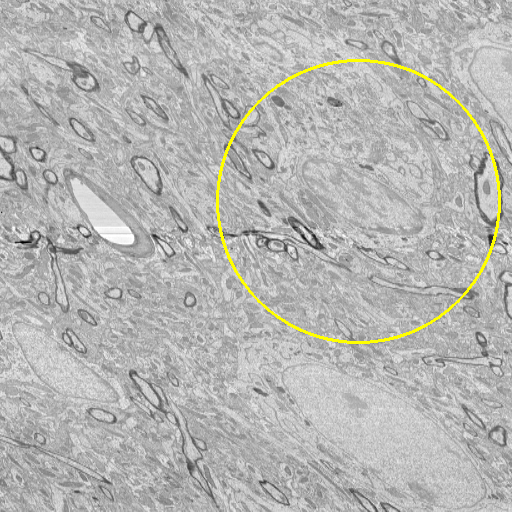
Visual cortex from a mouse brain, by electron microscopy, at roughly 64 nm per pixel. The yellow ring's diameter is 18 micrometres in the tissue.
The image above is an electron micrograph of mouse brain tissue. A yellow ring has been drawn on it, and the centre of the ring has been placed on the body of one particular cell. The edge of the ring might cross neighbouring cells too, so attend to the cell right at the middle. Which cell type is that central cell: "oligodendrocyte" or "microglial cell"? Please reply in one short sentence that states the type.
The central cell in the ring is an oligodendrocyte.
